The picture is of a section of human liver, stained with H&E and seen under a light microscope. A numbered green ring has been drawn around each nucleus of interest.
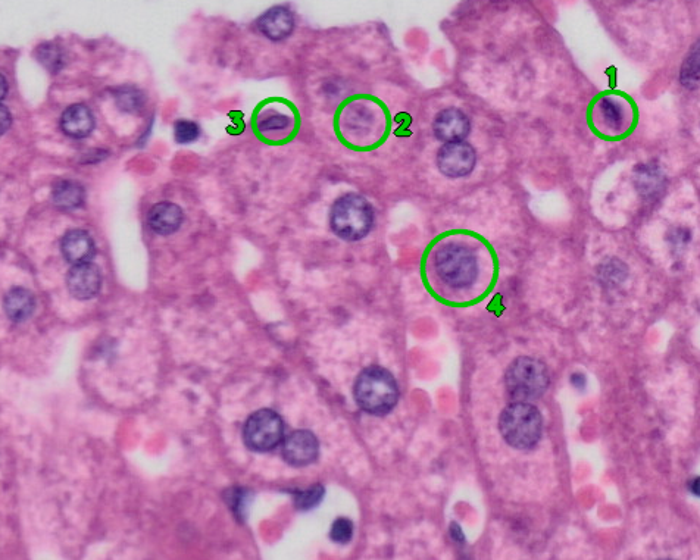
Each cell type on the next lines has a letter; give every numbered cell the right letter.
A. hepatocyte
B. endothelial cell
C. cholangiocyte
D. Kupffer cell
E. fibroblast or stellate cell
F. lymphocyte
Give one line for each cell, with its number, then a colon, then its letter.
1: E
2: A
3: D
4: A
